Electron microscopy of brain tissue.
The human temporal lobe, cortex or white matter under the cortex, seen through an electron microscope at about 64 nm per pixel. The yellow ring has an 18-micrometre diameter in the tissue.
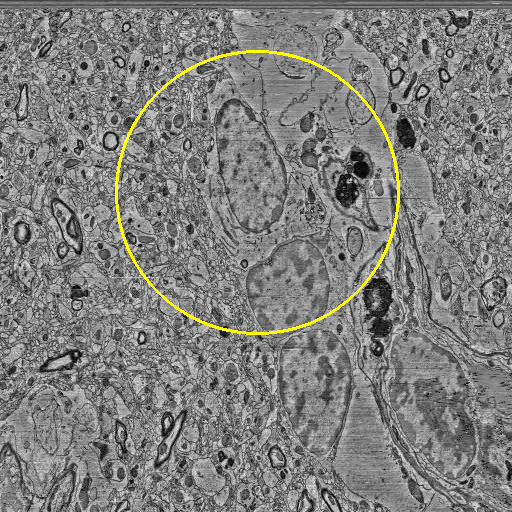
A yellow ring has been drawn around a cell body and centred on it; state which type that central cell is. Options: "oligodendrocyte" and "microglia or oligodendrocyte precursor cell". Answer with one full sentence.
The cell at the middle of the yellow ring is a microglial cell or oligodendrocyte precursor cell in this picture.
